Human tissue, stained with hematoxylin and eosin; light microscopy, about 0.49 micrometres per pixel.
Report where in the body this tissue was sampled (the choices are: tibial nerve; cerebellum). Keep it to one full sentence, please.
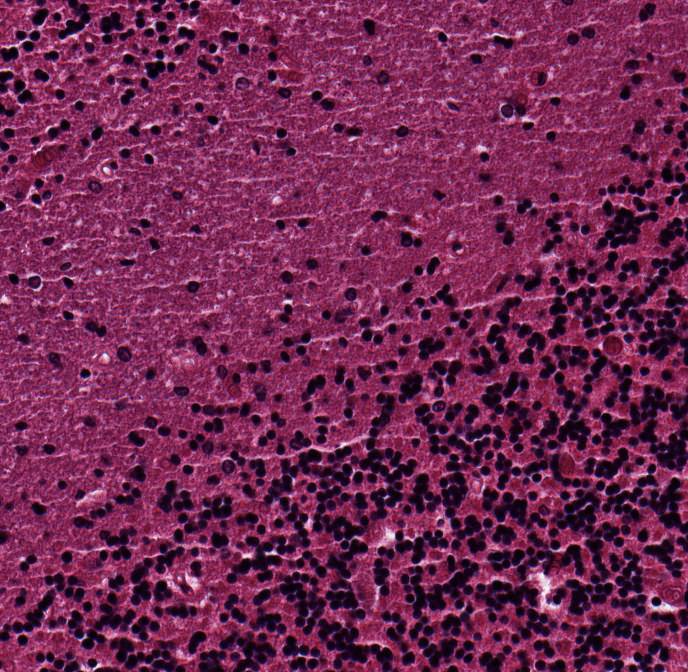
The sample was taken from the cerebellum.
